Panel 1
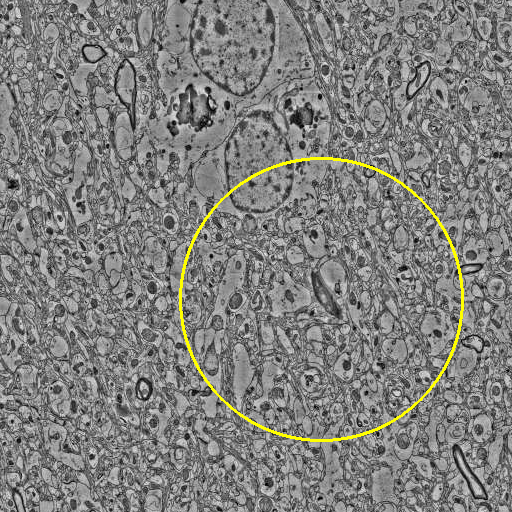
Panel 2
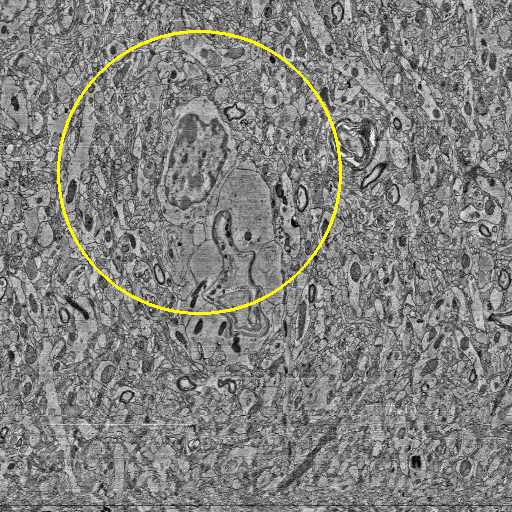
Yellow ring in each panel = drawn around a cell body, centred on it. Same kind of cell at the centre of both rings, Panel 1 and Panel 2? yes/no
no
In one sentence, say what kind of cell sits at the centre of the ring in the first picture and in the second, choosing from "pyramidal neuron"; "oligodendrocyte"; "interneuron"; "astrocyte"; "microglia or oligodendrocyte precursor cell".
The first picture's ringed cell is an astrocyte, while the second picture's is a microglial cell or oligodendrocyte precursor cell.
